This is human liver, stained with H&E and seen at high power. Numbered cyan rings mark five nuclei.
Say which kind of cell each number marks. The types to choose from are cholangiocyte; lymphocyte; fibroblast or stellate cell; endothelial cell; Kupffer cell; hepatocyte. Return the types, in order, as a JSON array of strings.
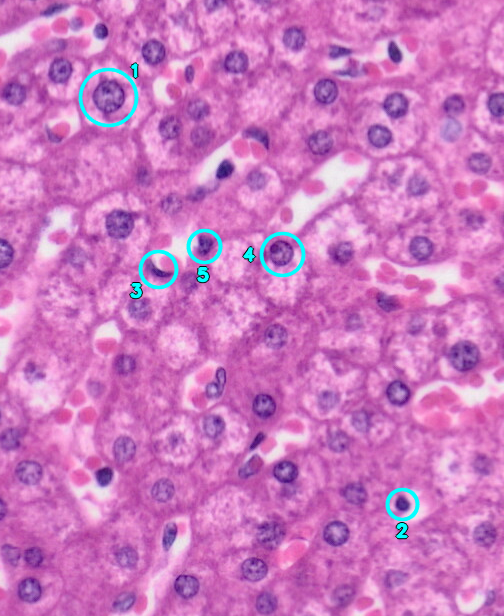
["hepatocyte", "lymphocyte", "endothelial cell", "hepatocyte", "fibroblast or stellate cell"]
